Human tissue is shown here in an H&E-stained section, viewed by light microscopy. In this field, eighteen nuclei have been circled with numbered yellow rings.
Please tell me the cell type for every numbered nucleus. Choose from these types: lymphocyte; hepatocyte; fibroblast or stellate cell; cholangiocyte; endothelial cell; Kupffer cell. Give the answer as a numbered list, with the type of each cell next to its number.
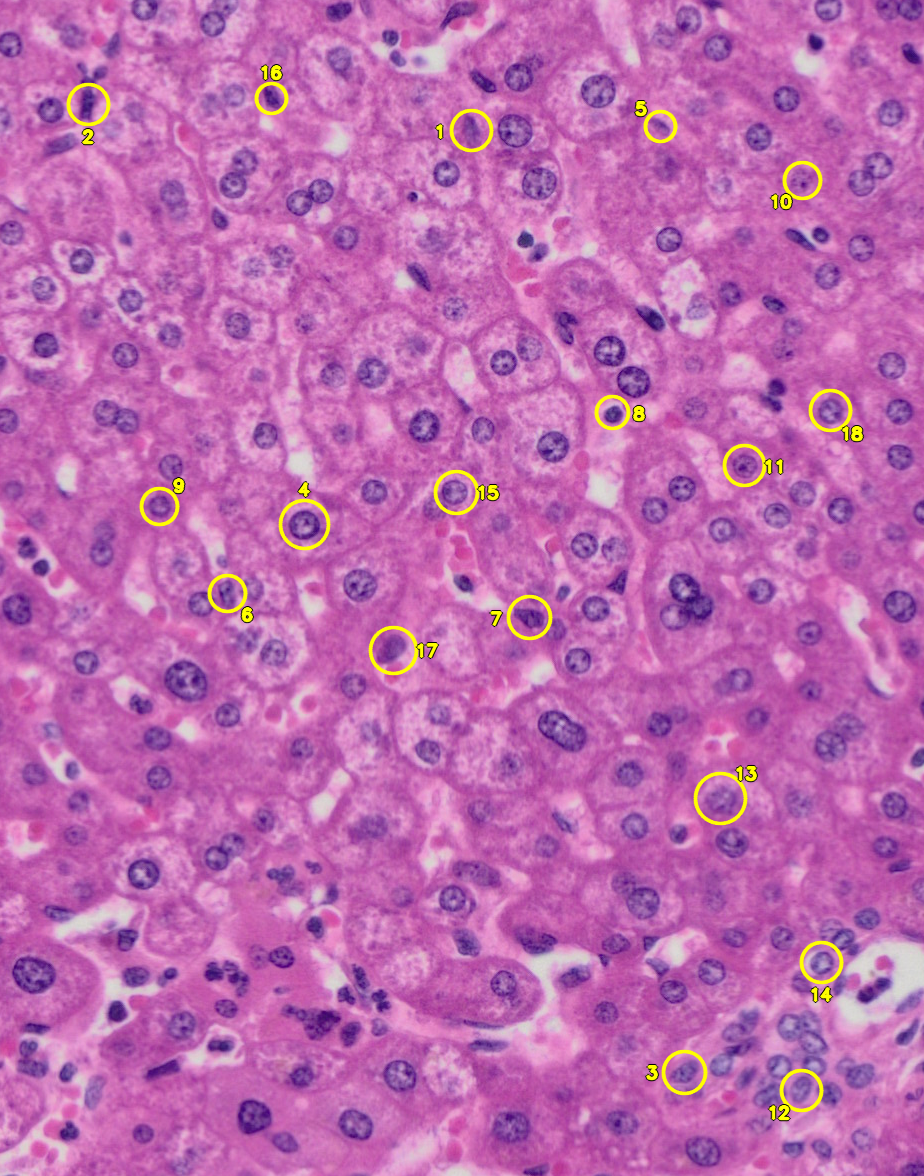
1. endothelial cell
2. fibroblast or stellate cell
3. cholangiocyte
4. hepatocyte
5. endothelial cell
6. fibroblast or stellate cell
7. fibroblast or stellate cell
8. lymphocyte
9. hepatocyte
10. hepatocyte
11. hepatocyte
12. cholangiocyte
13. hepatocyte
14. cholangiocyte
15. hepatocyte
16. fibroblast or stellate cell
17. endothelial cell
18. hepatocyte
